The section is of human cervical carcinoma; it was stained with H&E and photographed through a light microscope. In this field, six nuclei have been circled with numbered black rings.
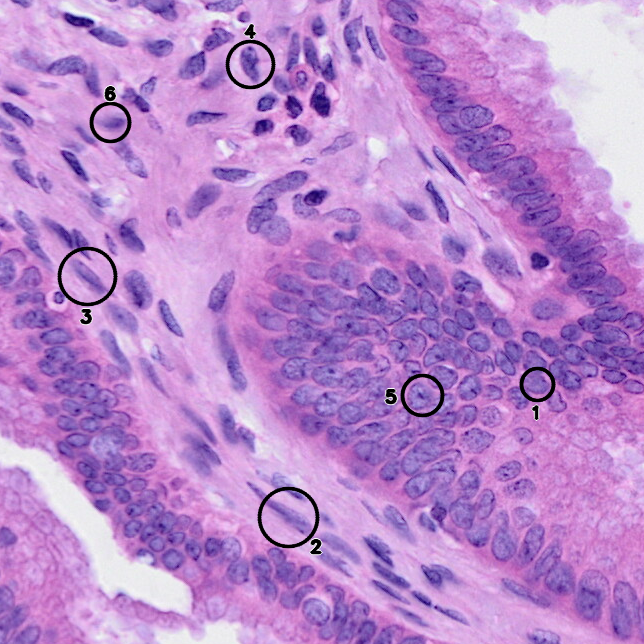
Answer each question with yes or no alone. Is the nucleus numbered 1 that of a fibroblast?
no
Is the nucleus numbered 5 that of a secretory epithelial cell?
yes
